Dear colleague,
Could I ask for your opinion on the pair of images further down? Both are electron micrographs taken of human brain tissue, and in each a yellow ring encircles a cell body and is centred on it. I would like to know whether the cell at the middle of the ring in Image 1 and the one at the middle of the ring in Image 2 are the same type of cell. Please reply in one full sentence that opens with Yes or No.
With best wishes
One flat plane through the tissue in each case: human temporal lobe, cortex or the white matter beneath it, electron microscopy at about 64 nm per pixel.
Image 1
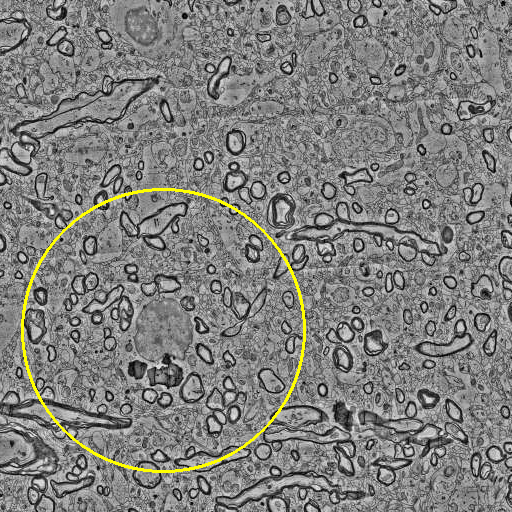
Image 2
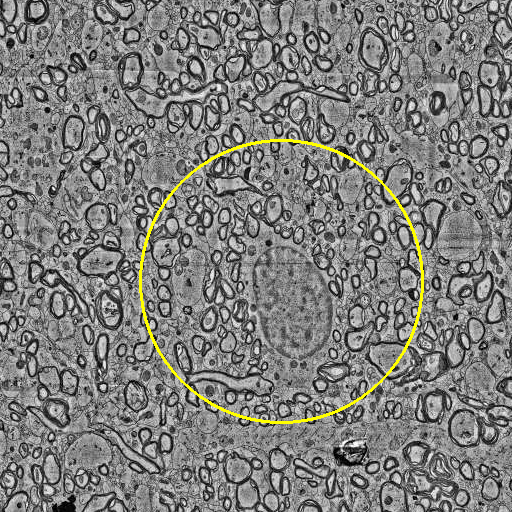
Yes, the cells at the ring centres in Image 1 and Image 2 are of one type.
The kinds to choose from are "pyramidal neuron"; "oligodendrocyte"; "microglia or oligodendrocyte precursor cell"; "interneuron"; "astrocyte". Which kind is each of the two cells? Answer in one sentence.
Each one of the two ringed cells is an oligodendrocyte.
